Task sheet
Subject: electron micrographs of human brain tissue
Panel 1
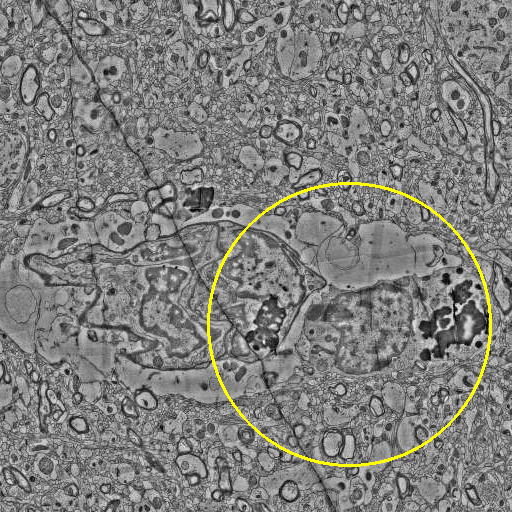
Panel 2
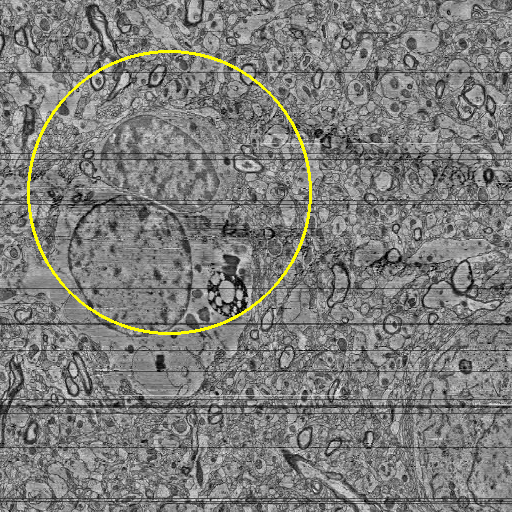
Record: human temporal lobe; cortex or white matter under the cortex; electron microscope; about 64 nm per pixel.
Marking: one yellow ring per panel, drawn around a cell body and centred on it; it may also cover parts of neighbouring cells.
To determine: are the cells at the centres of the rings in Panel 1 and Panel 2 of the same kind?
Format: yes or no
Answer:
yes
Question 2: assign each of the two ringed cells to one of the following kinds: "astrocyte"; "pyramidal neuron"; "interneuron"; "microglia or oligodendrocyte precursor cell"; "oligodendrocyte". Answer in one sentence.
In both pictures the ring is centred on an oligodendrocyte.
